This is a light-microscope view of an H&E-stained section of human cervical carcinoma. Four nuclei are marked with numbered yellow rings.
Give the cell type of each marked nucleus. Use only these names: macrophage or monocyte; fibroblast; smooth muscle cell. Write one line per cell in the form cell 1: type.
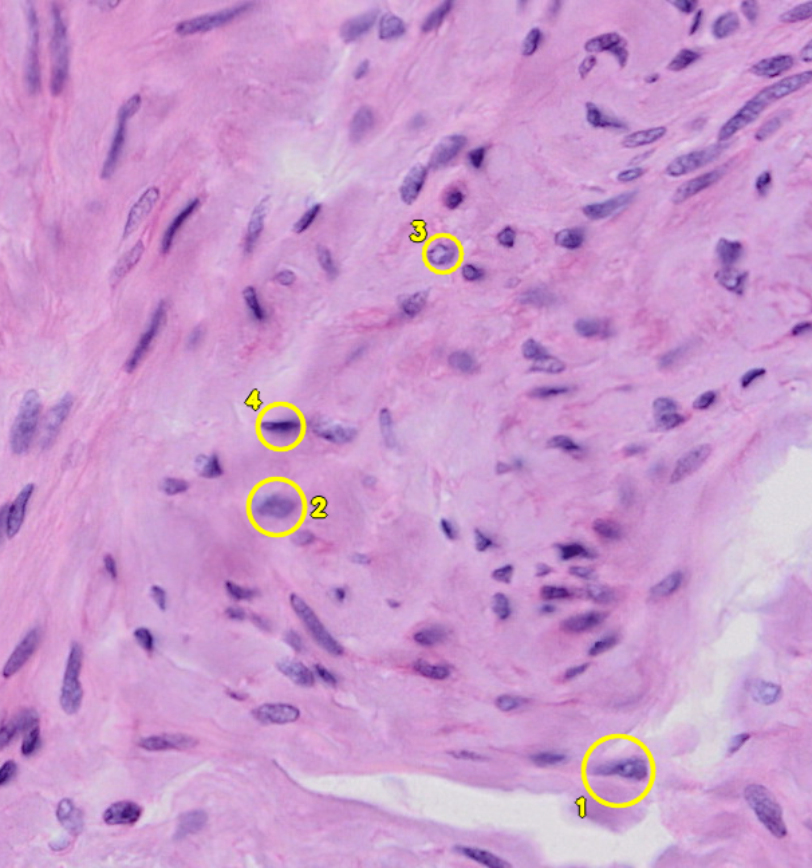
cell 1: fibroblast
cell 2: fibroblast
cell 3: smooth muscle cell
cell 4: fibroblast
